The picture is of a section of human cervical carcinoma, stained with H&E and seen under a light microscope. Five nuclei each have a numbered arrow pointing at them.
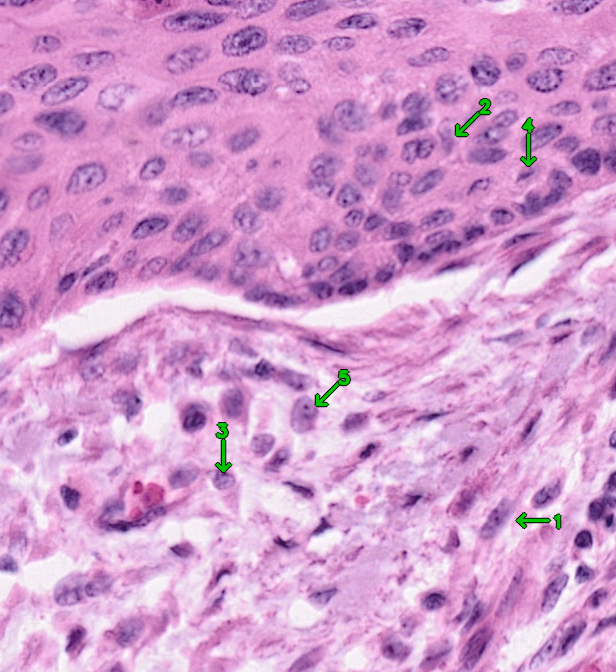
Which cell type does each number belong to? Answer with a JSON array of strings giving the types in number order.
["fibroblast", "squamous carcinoma cell", "macrophage or monocyte", "squamous carcinoma cell", "fibroblast"]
